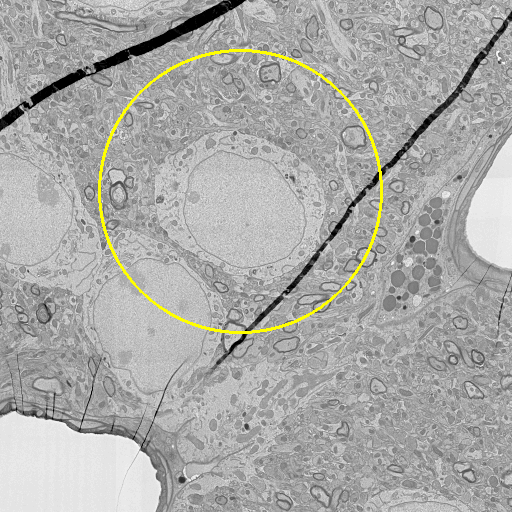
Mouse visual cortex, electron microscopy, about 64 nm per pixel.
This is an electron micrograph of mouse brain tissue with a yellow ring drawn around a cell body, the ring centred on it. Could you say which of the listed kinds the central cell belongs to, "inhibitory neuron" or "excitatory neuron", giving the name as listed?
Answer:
excitatory neuron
